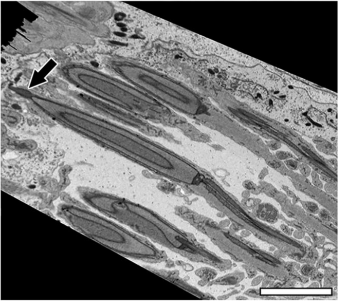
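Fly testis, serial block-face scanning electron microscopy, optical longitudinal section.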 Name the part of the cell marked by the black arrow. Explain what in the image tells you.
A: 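The arrow points at the tapered front tip of an elongated head. Several long, narrow heads lie side by side.
Acrosome.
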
